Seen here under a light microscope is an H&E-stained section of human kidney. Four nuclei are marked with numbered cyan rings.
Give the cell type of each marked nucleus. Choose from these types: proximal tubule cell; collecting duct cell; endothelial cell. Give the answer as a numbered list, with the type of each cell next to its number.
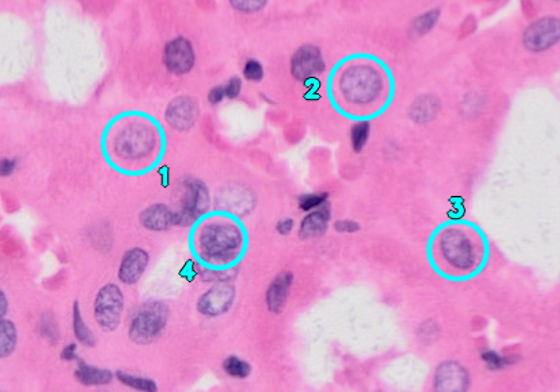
1. proximal tubule cell
2. proximal tubule cell
3. proximal tubule cell
4. collecting duct cell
